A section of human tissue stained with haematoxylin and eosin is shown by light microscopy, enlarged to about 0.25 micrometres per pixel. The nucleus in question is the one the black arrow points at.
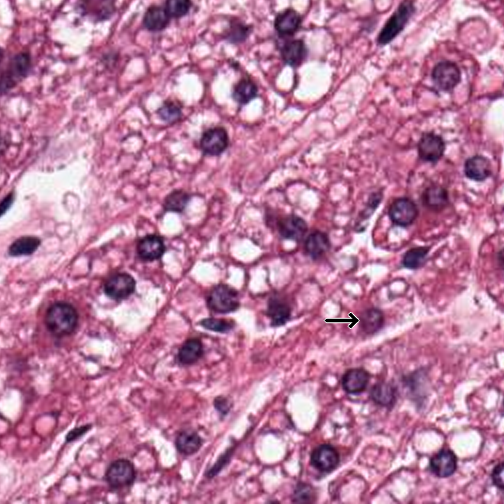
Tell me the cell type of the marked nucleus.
adrenal cortical cell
